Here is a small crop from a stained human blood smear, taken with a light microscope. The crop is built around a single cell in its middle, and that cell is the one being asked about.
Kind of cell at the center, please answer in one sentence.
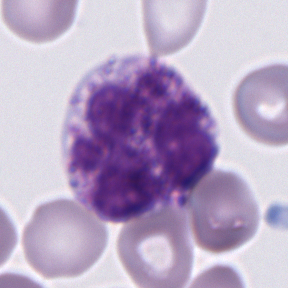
Within this crop, a basophil occupies the central position.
